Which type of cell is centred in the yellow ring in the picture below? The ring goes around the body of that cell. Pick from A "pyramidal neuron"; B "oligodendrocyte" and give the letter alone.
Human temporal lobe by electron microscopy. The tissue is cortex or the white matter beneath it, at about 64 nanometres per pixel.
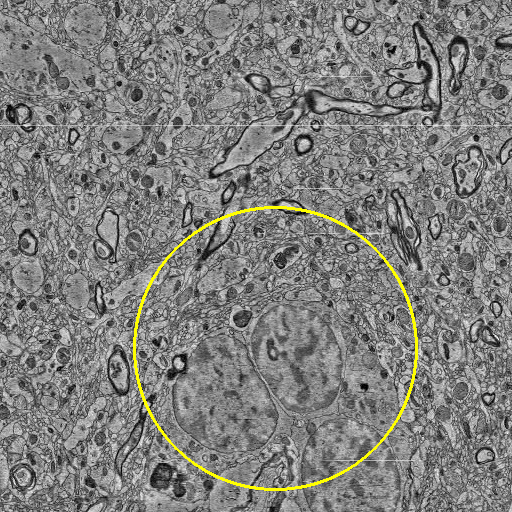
B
